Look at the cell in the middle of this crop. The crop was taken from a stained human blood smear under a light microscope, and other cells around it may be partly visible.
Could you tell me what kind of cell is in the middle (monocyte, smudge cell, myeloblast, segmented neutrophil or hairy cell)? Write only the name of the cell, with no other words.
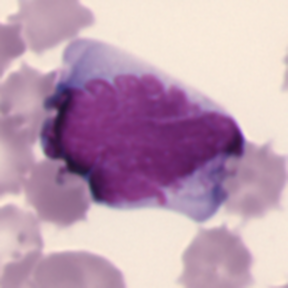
myeloblast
